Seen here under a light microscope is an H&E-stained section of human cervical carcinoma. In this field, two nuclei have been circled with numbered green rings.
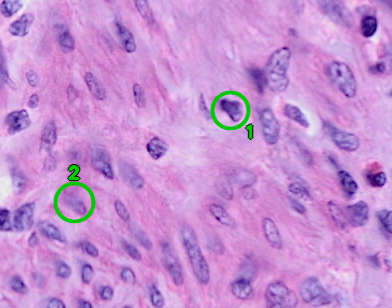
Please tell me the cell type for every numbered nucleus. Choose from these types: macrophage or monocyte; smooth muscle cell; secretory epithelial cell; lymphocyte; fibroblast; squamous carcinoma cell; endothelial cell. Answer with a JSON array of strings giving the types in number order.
["lymphocyte", "smooth muscle cell"]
